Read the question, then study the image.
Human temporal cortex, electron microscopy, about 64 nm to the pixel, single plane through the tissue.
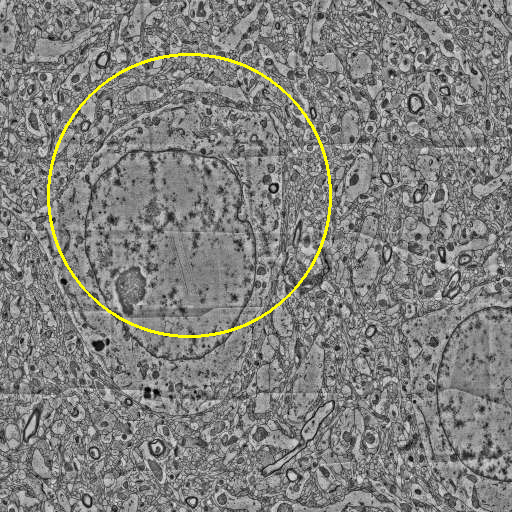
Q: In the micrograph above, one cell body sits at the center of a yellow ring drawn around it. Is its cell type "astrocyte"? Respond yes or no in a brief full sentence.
No, its cell type is another one.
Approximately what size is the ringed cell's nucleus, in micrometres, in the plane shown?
In this plane, roughly 14 by 11 micrometres.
